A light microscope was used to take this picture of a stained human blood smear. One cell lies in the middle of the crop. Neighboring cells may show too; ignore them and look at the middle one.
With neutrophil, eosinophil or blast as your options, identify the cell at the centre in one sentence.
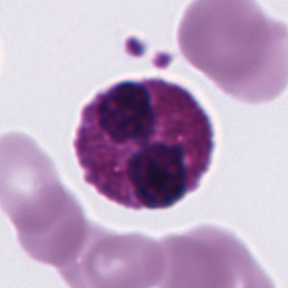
The crop centres on a single cell, and that cell is an eosinophil.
